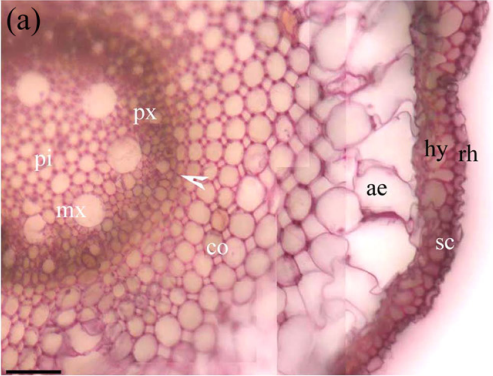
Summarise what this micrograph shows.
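This is a cross section of a root stained pink-purple, with the vascular cylinder at left and the root surface at right. The cylinder holds wide round vessels of metaxylem, smaller protoxylem and a central pith, enclosed by the endodermis. Outside, the cortex begins as compact rows of small rounded cells, then gives way to a zone of collapsed, irregular thin walls enclosing large air spaces, the aerenchyma.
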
